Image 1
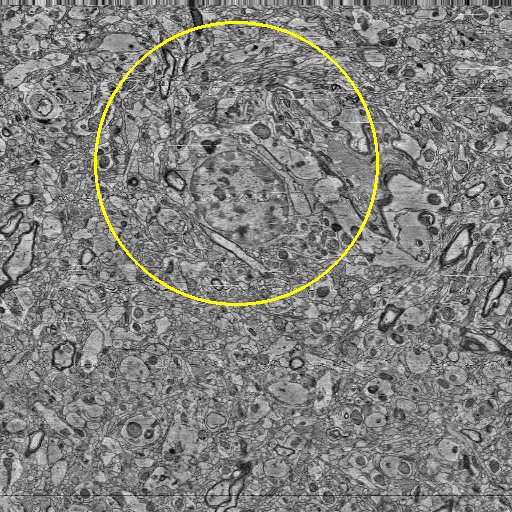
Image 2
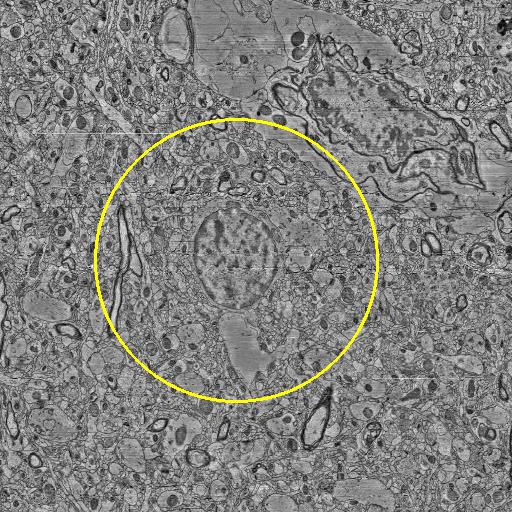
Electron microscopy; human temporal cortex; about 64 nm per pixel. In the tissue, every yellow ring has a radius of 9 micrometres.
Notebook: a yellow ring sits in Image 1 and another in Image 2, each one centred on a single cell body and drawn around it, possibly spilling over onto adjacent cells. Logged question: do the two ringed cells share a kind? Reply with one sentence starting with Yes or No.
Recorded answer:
Yes, both centre cells inside the rings of Image 1 and Image 2 share one kind.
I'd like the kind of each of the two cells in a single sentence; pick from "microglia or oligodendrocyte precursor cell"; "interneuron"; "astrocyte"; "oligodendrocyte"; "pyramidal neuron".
Each of the ringed cells, first and second, is an oligodendrocyte.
